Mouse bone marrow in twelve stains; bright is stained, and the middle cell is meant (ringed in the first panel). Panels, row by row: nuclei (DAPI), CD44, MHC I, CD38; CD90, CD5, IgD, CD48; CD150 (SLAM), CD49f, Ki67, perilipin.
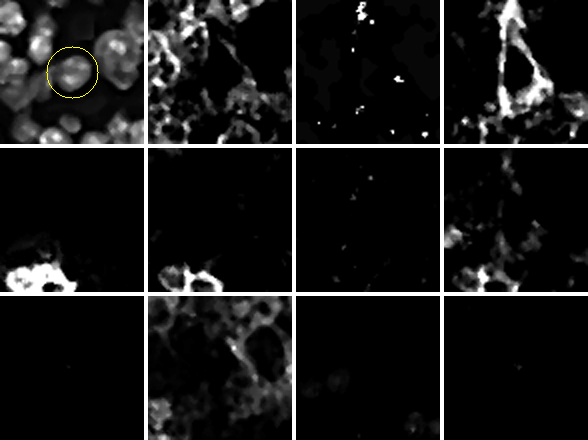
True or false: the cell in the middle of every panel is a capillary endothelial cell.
True.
